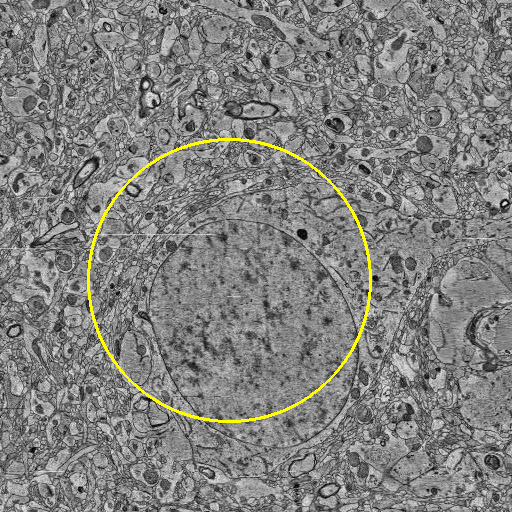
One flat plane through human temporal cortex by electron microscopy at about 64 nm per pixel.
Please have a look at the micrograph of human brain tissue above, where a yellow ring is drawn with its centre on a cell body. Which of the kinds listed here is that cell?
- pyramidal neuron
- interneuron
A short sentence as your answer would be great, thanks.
At the centre of the ring sits a pyramidal neuron.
